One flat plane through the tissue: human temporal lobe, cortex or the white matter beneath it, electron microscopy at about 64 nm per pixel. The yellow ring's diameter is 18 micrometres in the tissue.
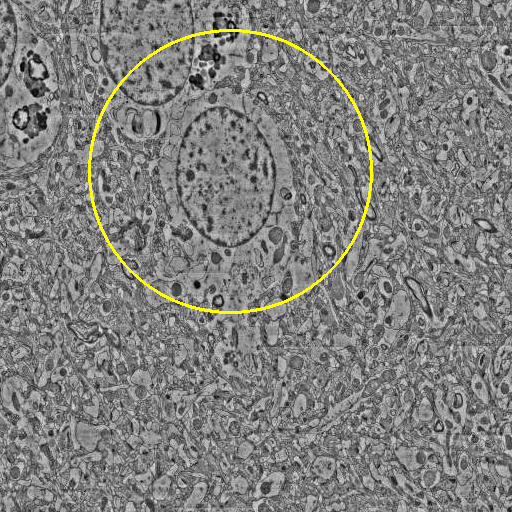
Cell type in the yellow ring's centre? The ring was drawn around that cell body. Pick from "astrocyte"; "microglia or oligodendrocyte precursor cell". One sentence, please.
The ringed cell body is that of an astrocyte.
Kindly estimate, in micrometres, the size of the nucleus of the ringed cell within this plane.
The nucleus has a long axis of about 9 micrometres and a short axis of about 6 micrometres in this plane.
